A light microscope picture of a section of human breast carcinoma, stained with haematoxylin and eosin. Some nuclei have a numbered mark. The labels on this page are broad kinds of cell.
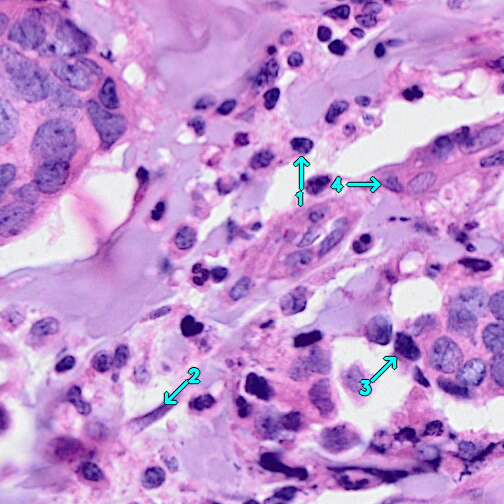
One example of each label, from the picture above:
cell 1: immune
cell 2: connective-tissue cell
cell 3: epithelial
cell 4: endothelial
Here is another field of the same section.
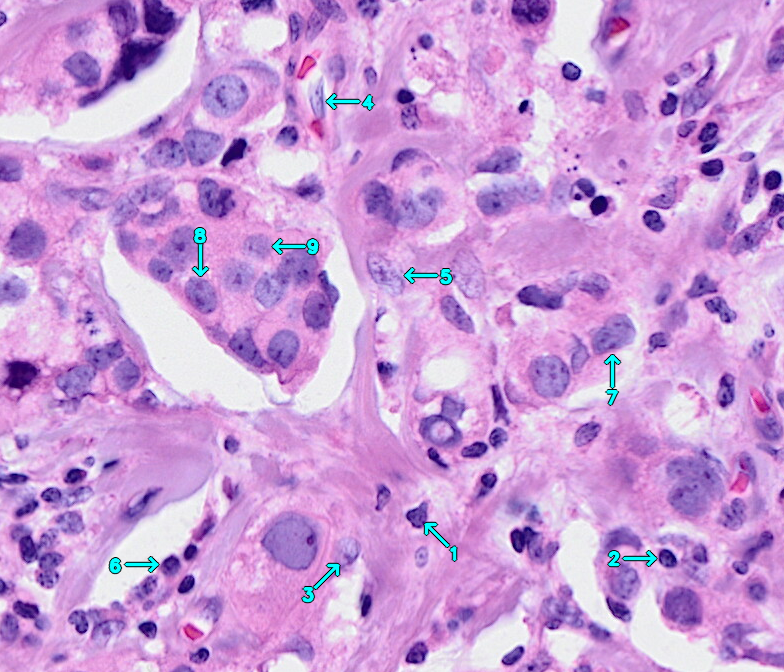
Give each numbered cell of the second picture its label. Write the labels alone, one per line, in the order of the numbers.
immune
immune
connective-tissue cell
endothelial
connective-tissue cell
immune
epithelial
epithelial
epithelial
